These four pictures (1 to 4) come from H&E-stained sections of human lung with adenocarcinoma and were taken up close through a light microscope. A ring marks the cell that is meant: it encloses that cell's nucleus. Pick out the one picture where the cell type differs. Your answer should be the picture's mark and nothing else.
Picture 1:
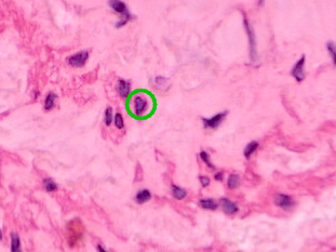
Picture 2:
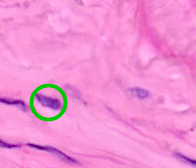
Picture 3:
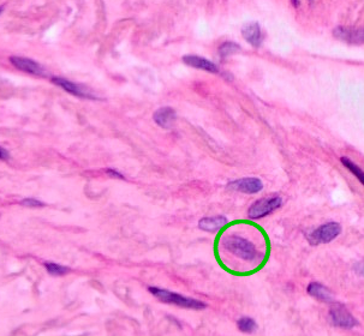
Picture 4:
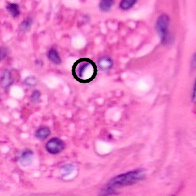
2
